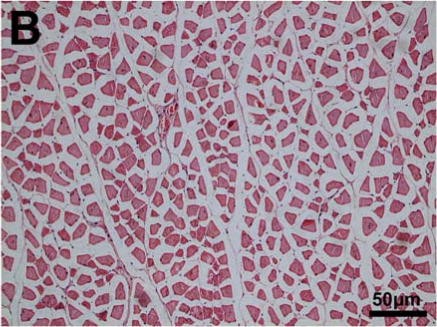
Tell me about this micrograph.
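Here again we look at muscle cut crosswise, with each pink, angular profile being a single muscle fiber seen end-on. The fibers stain pink-red and vary somewhat in size, some looking small and rounded. Pale white spaces separate neighbouring fibers, and wider pale seams wander across the field, splitting the fibers into bundles of differing shape. Compared with a tightly packed field, the pale spaces here take up a good share of the area.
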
